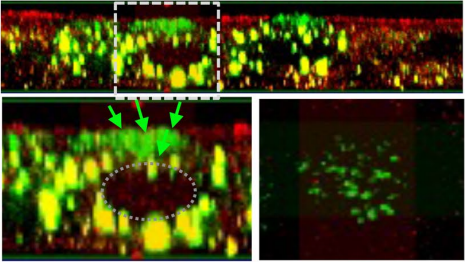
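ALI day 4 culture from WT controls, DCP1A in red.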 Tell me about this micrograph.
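Large yellow granules, labelled in both colours, are scattered through the height of the cells. A dashed oval marks the middle of one cell, with the yellow granules around it. At the top of this cell lies a cluster of smaller granules in green only, pointed to by green arrows. The apical view shows many small green dots grouped together.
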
